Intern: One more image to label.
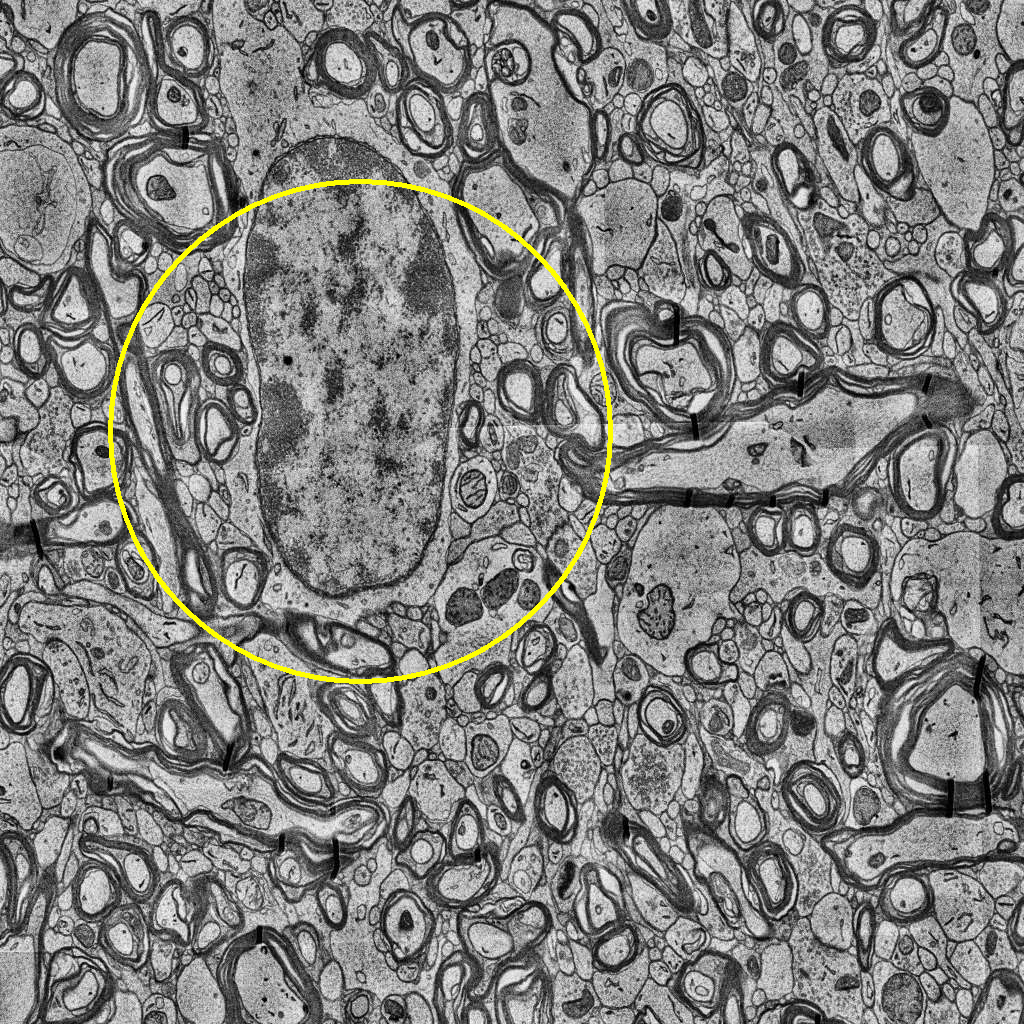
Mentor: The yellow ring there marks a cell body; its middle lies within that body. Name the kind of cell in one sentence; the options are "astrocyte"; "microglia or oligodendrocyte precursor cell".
The ring marks the cell body of a microglial cell or oligodendrocyte precursor cell.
